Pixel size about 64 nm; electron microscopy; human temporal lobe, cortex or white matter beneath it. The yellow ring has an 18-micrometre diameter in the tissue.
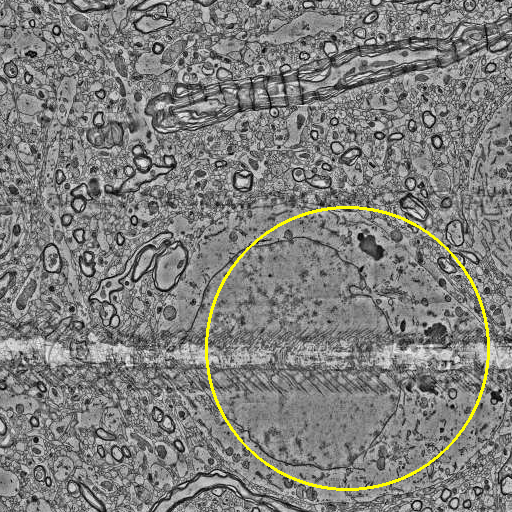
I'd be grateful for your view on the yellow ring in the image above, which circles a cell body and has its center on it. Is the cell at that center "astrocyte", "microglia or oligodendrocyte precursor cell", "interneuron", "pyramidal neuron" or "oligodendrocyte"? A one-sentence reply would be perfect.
The cell at the center of the yellow ring is a pyramidal neuron.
